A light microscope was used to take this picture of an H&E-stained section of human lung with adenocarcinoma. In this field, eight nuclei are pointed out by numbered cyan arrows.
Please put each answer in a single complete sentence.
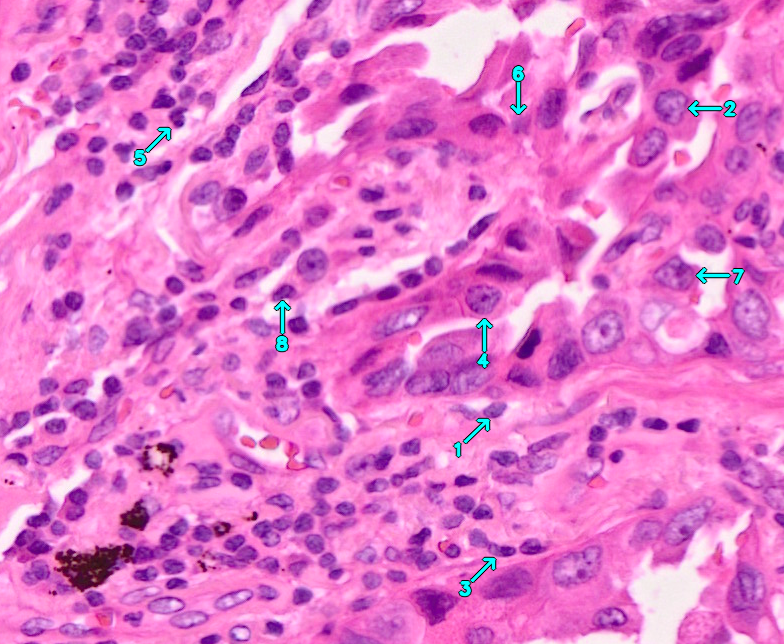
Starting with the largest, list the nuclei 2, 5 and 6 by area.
From largest to smallest, the order is 2, 6, 5.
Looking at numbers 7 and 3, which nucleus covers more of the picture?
Nucleus 7 is the larger one, covering about 4 times the area of nucleus 3.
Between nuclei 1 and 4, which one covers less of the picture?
Number 1 is smaller, since number 4 takes up about 3 times as much area.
